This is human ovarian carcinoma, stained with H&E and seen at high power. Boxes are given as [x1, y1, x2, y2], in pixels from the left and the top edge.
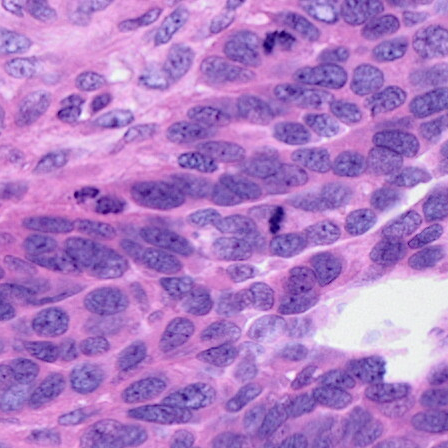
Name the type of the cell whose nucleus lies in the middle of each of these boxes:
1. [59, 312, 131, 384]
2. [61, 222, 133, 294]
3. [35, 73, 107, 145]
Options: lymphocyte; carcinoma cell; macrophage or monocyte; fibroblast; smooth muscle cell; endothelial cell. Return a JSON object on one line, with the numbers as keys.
{"1": "carcinoma cell", "2": "carcinoma cell", "3": "macrophage or monocyte"}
